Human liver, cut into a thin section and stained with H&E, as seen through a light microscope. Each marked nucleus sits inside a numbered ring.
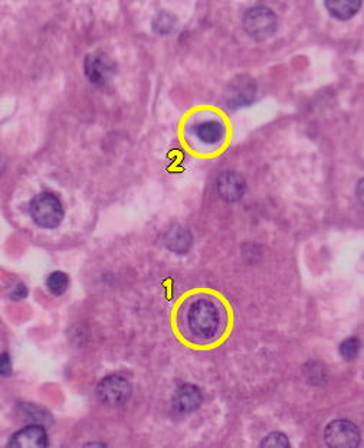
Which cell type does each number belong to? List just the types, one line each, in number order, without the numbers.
hepatocyte
lymphocyte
